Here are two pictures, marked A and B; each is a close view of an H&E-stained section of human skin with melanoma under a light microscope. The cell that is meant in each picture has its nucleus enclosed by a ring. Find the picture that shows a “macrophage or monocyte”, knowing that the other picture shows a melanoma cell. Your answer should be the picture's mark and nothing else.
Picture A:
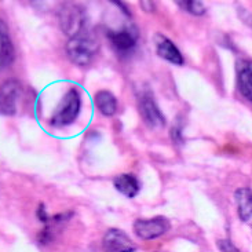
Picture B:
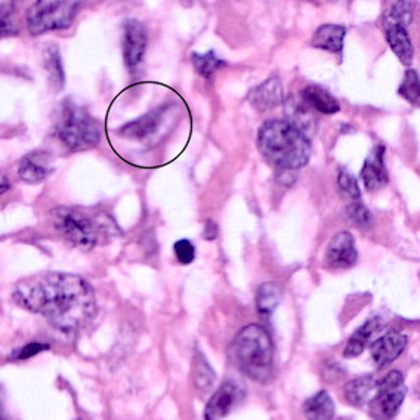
A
